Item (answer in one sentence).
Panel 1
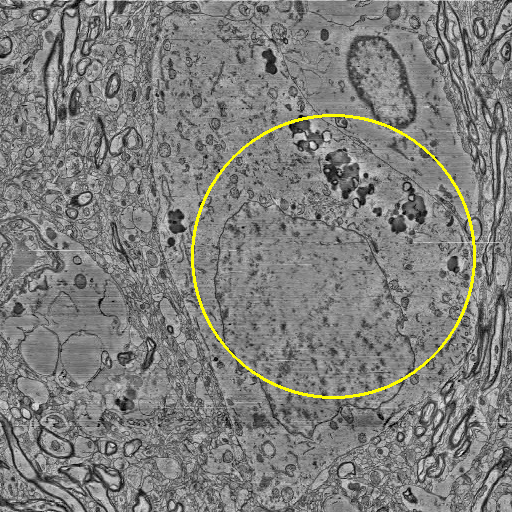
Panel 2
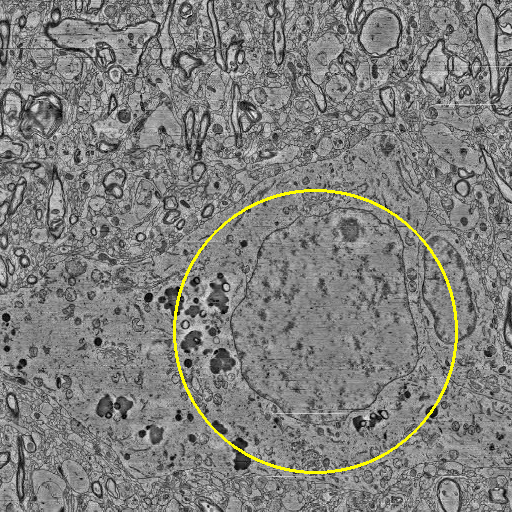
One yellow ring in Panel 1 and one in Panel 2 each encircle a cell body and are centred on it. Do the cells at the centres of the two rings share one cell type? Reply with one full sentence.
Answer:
Yes, Panel 1 and Panel 2 show cells of one type at the centres of their rings.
